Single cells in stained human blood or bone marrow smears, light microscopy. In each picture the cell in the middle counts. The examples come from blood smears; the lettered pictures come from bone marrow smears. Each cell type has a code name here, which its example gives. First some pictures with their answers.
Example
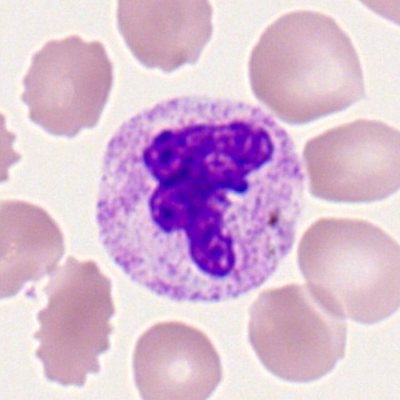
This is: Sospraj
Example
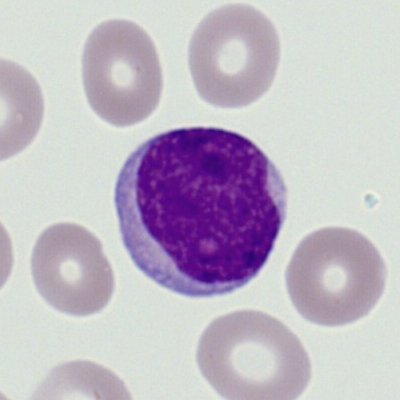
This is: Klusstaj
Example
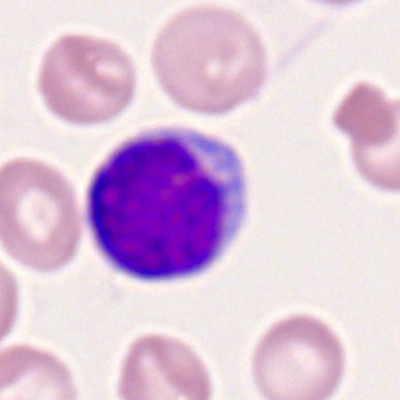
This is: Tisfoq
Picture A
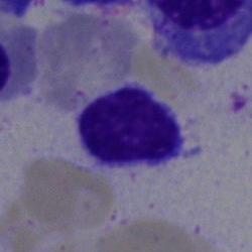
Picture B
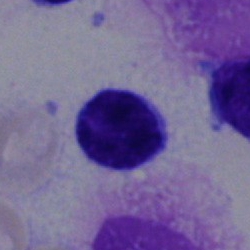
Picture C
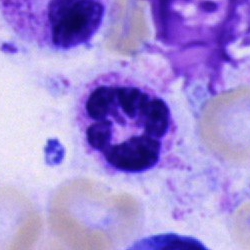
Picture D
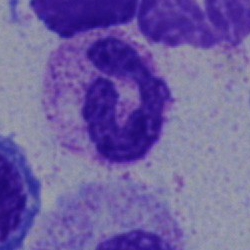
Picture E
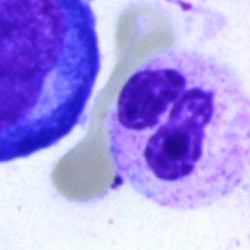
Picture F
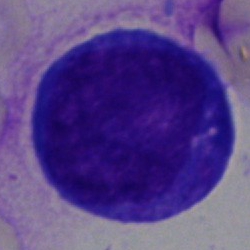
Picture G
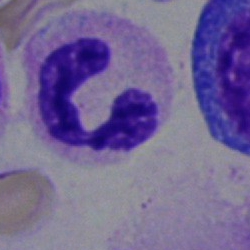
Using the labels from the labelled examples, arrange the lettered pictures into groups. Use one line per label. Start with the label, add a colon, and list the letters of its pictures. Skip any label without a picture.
Sospraj: C, D, E, G
Klusstaj: F
Tisfoq: A, B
